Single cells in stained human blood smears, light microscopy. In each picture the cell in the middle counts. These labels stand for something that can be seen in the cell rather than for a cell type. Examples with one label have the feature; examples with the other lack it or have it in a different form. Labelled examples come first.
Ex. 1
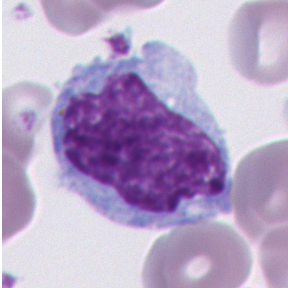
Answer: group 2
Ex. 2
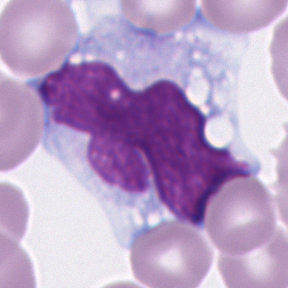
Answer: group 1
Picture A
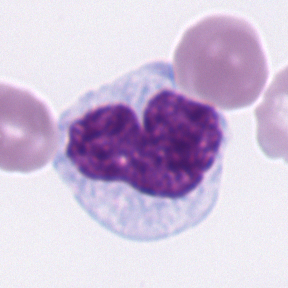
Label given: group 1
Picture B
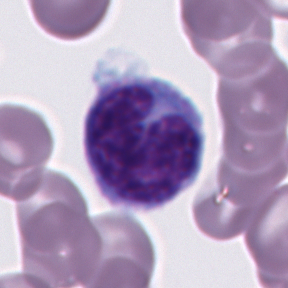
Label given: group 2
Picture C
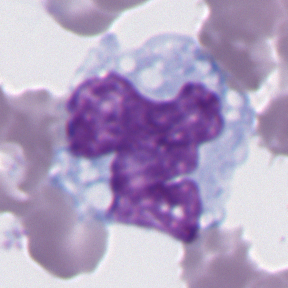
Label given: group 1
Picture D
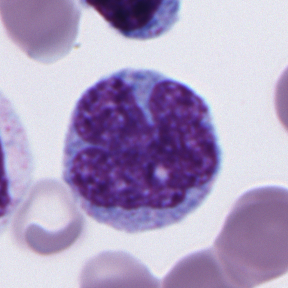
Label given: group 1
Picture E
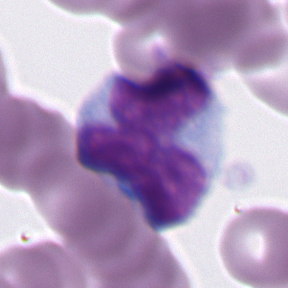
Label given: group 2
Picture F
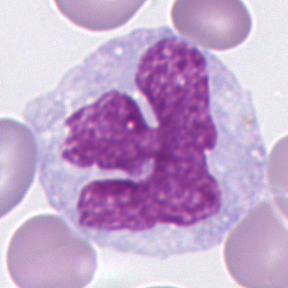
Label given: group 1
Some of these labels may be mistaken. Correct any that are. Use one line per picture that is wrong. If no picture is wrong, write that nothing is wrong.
D: change group 1 to group 2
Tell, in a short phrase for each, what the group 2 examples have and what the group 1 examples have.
group 2: scant cytoplasm; group 1: abundant cytoplasm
